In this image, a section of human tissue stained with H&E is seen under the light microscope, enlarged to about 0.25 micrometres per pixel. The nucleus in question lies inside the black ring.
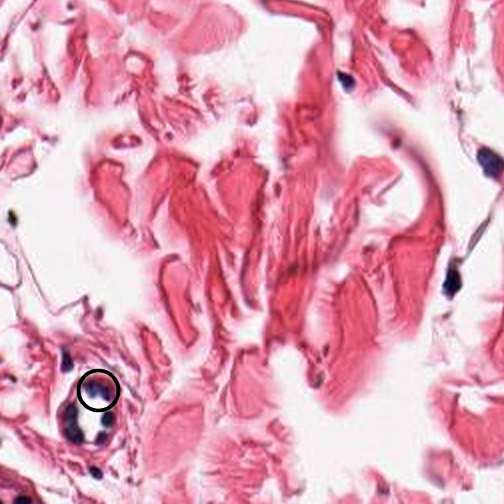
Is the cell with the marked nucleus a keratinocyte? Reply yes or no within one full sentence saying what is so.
No, the marked nucleus is not the nucleus of a keratinocyte but of a supporting cell.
